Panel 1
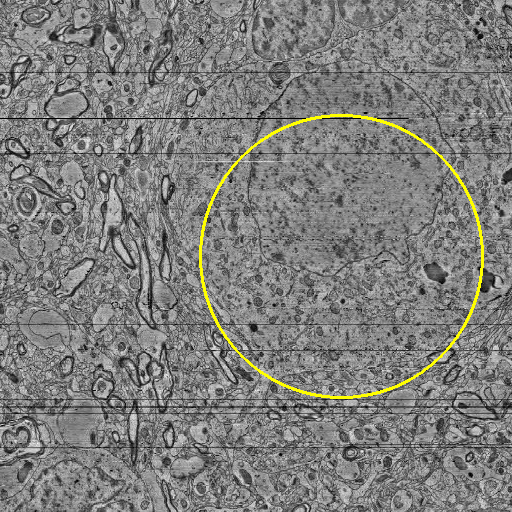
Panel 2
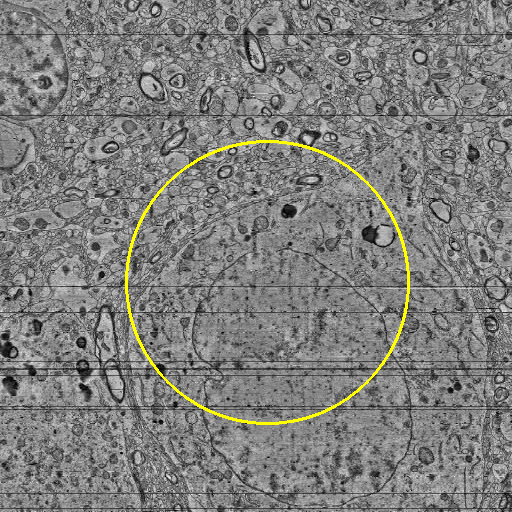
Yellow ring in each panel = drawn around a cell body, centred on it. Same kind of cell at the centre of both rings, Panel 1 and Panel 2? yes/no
yes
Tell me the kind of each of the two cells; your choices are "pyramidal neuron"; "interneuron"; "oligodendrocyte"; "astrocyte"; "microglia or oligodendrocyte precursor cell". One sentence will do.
In both pictures the ring is centred on a pyramidal neuron.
